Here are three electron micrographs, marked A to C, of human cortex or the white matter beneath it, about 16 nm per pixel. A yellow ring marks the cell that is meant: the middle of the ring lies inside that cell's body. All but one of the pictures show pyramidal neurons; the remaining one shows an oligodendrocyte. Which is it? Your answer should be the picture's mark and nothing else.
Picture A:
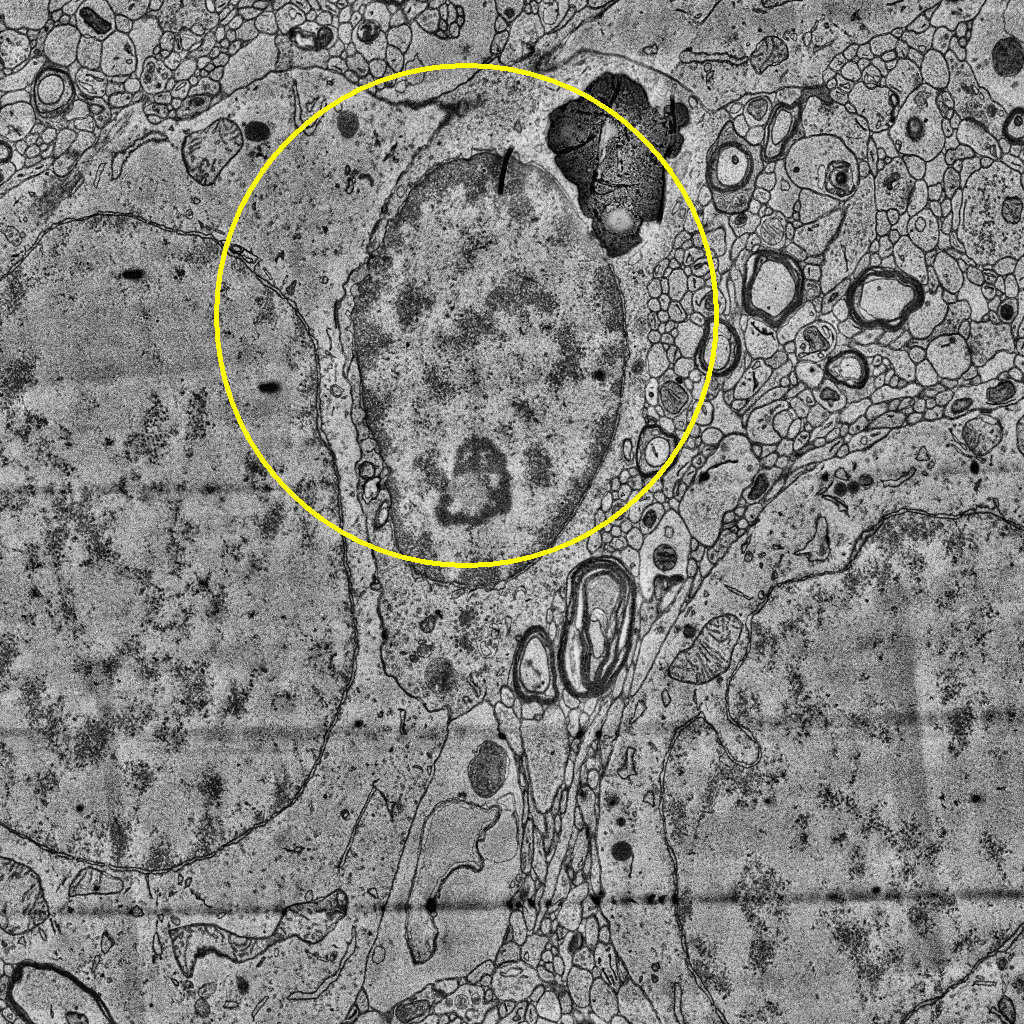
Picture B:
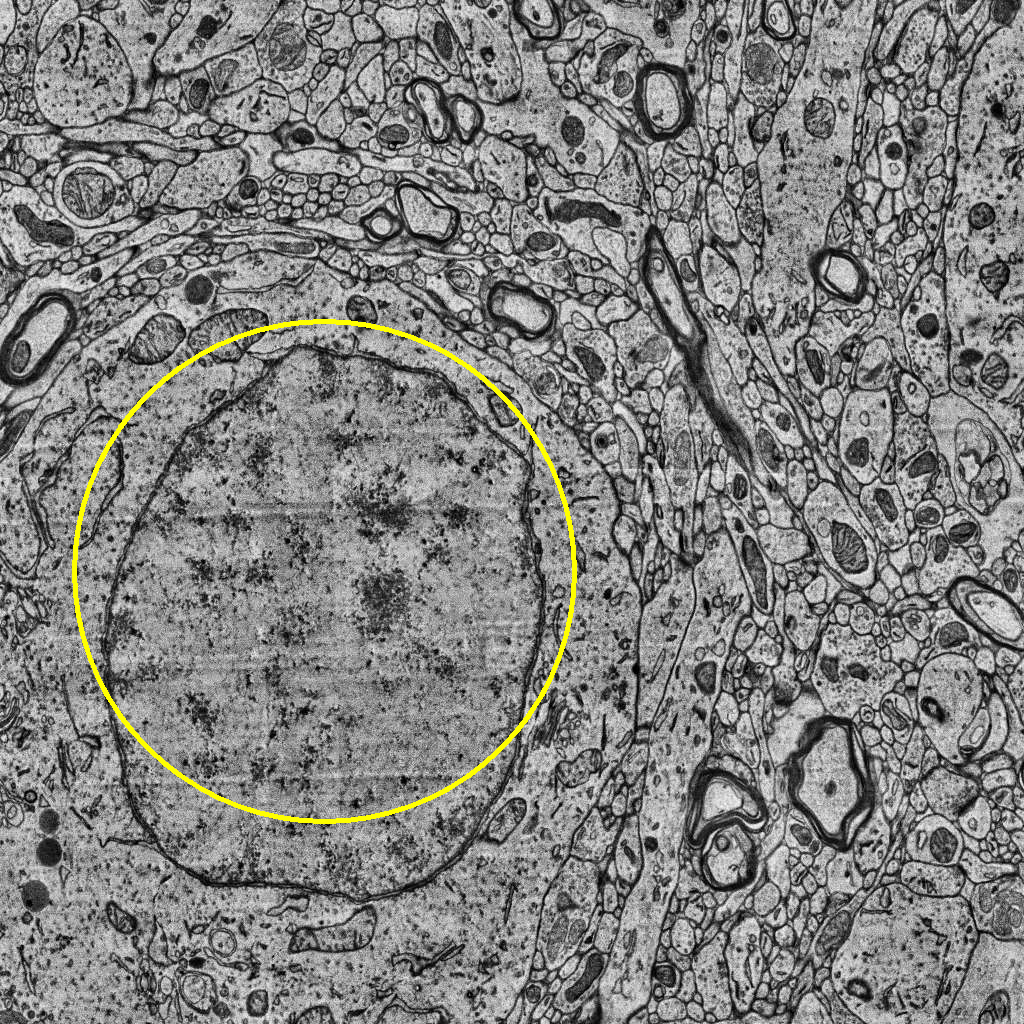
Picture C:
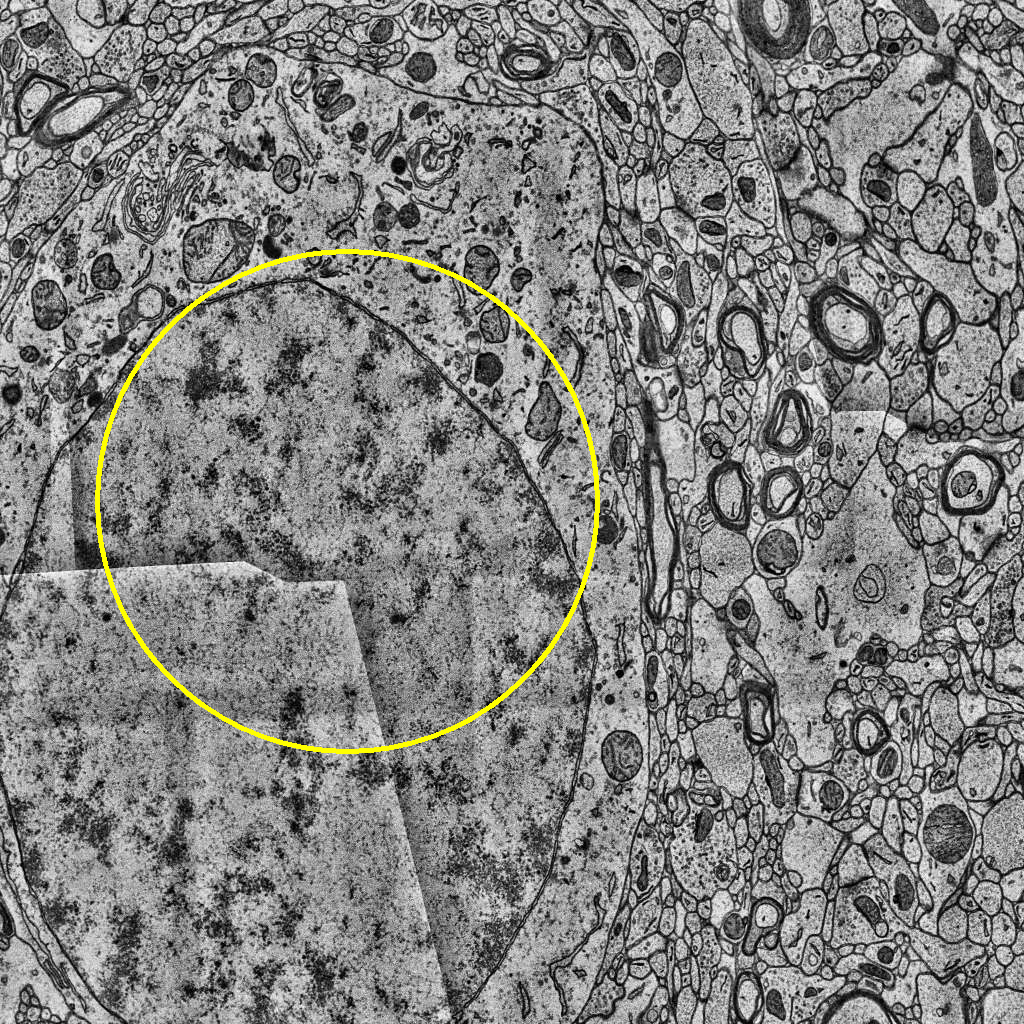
A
